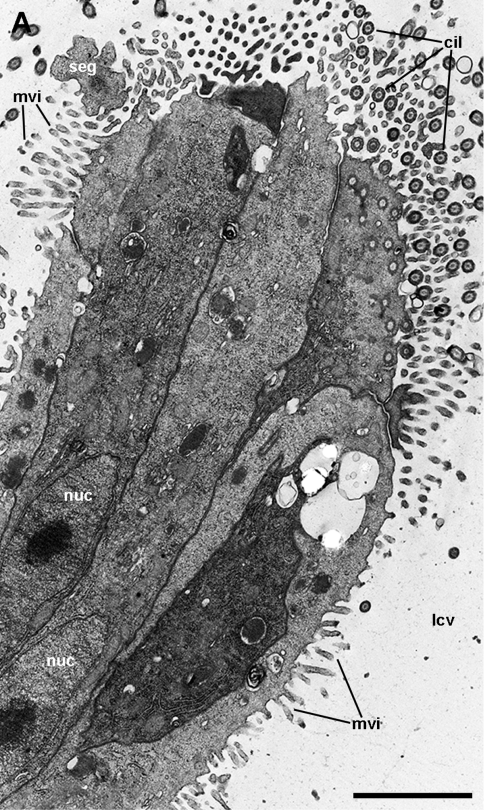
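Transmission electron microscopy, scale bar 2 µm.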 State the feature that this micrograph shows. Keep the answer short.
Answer: Ciliary tufts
